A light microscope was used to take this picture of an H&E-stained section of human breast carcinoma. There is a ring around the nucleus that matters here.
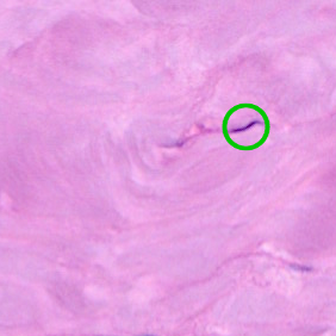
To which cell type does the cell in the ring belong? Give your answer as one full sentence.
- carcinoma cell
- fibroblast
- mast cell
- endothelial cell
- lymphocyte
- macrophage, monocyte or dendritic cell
In the tissue under study, the cell in the ring is a fibroblast.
